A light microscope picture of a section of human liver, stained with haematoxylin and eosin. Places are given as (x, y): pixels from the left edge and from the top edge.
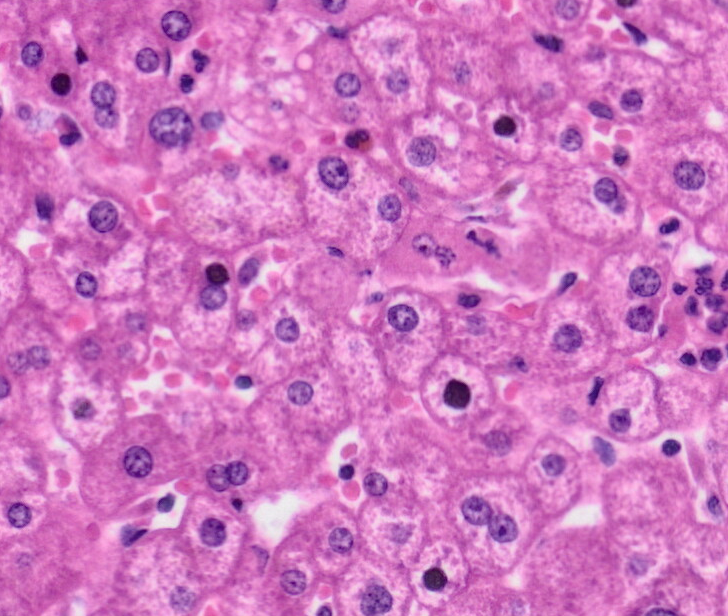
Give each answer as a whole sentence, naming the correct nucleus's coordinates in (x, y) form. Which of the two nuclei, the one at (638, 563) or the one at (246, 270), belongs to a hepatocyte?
The nucleus located at (638, 563) is the one held within a hepatocyte.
